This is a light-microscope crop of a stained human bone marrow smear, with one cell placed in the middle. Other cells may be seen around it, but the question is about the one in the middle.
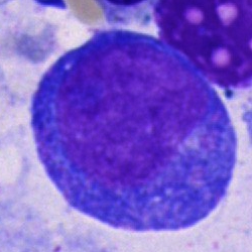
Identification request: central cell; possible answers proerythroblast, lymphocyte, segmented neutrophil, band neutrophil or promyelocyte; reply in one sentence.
At the center of the crop sits a promyelocyte.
